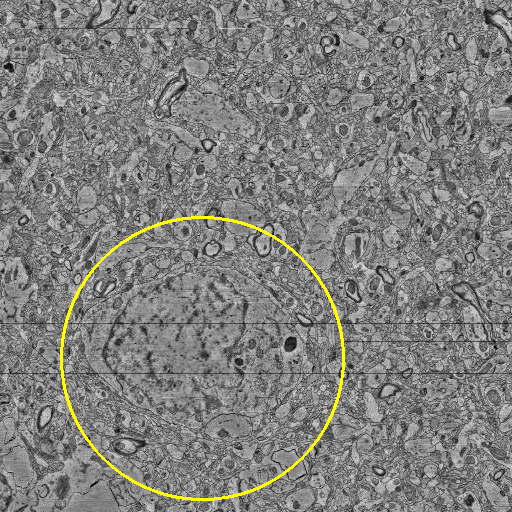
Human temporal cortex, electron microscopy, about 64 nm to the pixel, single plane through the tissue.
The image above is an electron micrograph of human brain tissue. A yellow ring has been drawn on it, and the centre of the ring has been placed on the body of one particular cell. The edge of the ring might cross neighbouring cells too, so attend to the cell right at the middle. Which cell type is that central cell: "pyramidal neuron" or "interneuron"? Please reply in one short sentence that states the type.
The central cell in the ring is an interneuron.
